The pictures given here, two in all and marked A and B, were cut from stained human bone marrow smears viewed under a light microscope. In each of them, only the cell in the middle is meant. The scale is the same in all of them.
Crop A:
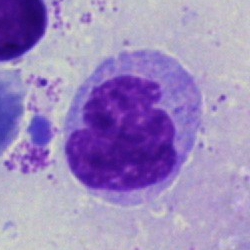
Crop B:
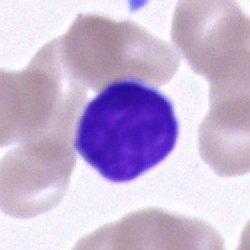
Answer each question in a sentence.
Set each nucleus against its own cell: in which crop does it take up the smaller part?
Of the two, the nucleus in crop A leaves more room for cytoplasm.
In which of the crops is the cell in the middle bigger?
Larger is the cell in crop A, at roughly 2 times the area of the other.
